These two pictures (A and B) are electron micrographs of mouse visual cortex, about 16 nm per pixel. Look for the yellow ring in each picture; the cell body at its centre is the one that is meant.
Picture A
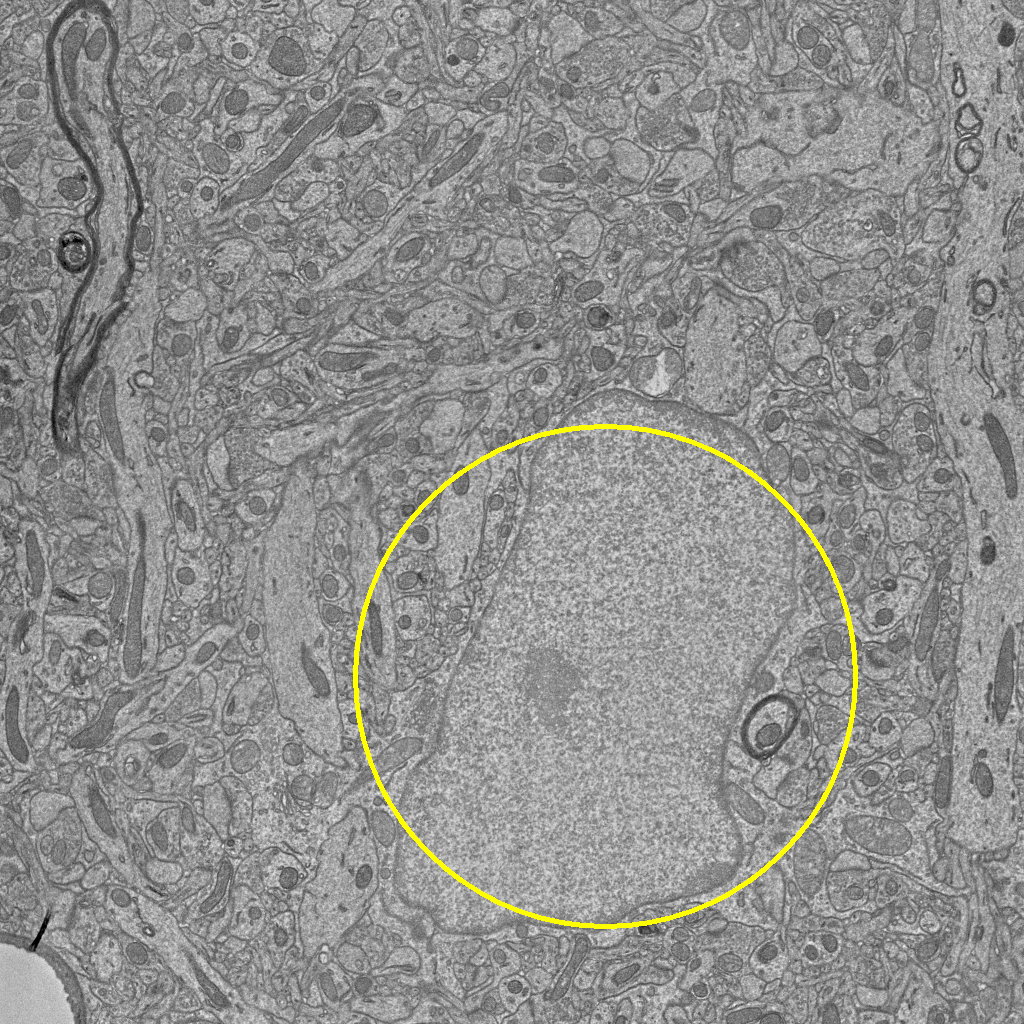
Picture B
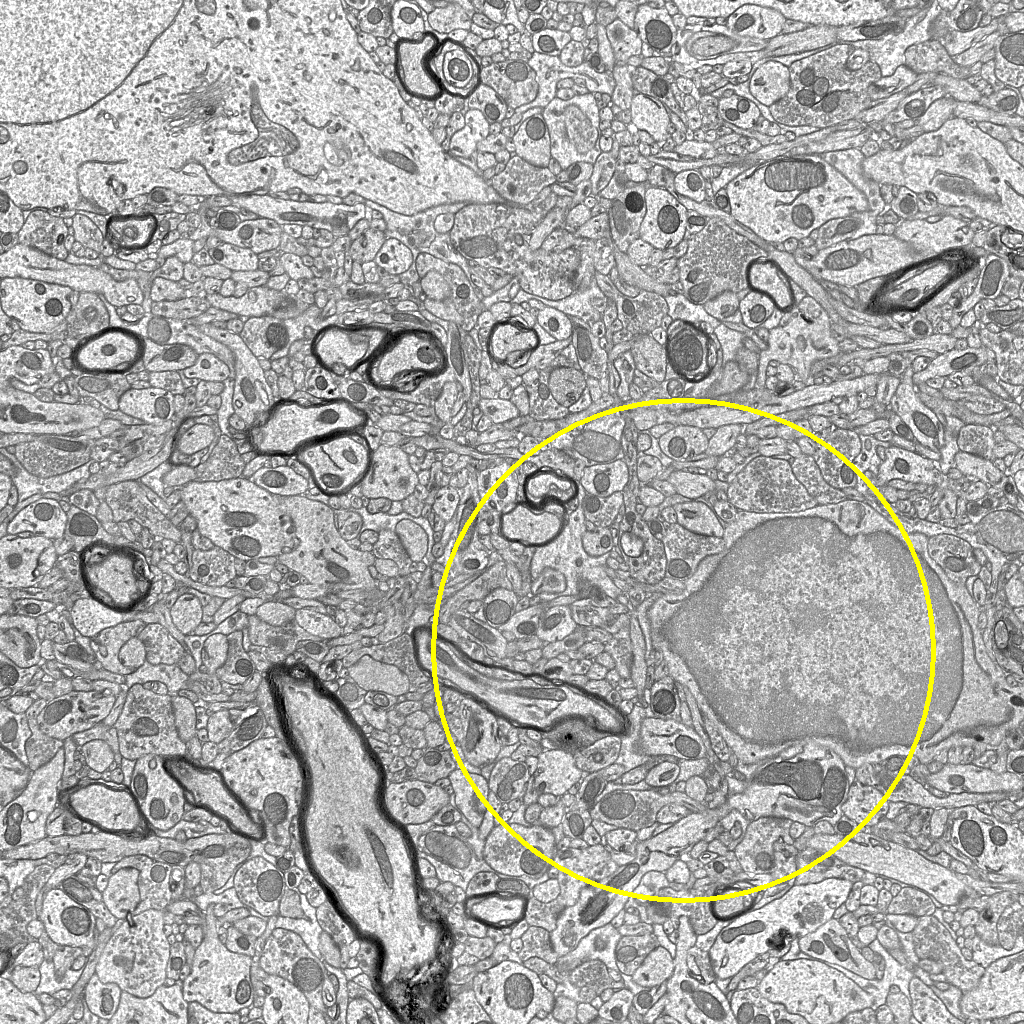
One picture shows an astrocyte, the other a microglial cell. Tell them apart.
It is picture A that shows an astrocyte, and picture B that shows a microglial cell.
